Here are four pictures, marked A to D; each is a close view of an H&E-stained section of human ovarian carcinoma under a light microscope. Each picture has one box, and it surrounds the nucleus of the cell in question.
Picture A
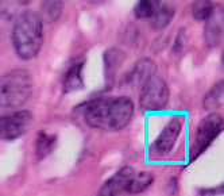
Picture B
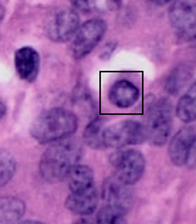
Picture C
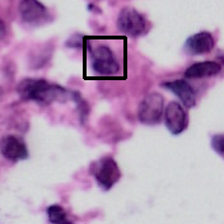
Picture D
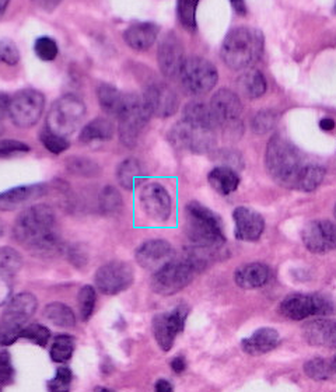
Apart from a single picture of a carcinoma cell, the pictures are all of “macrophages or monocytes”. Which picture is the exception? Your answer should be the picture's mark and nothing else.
A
